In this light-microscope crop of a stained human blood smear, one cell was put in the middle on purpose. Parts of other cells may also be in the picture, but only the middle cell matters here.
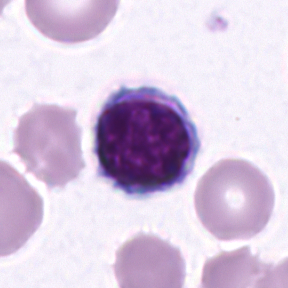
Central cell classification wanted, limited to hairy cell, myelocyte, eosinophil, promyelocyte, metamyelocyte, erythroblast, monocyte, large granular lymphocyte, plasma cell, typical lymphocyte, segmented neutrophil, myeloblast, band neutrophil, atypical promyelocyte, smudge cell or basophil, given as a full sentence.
Of the cells in this crop, the central one is a plasma cell.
